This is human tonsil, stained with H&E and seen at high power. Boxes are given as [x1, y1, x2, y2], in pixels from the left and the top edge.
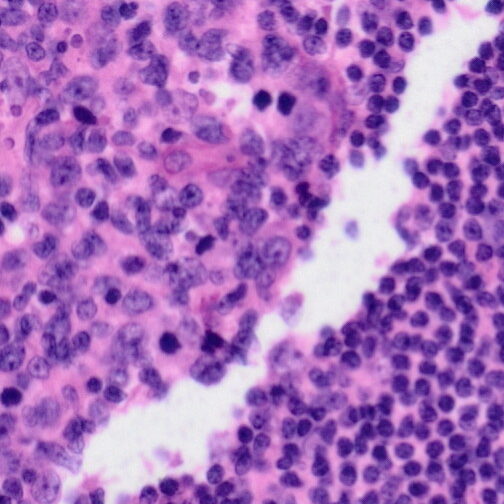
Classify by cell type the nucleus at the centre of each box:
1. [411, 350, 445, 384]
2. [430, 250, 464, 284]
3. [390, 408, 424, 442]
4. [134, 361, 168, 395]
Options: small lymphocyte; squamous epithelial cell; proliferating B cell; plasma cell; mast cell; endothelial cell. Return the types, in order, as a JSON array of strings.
["small lymphocyte", "small lymphocyte", "small lymphocyte", "proliferating B cell"]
